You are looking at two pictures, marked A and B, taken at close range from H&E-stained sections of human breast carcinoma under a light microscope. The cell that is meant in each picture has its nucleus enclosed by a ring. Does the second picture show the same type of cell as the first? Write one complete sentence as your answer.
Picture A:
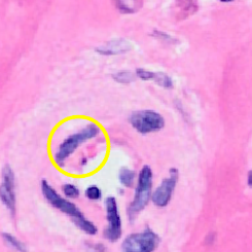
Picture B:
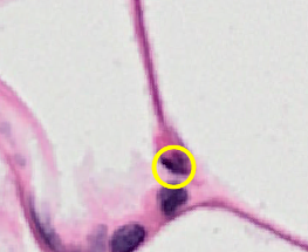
Yes, both are endothelial cells.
